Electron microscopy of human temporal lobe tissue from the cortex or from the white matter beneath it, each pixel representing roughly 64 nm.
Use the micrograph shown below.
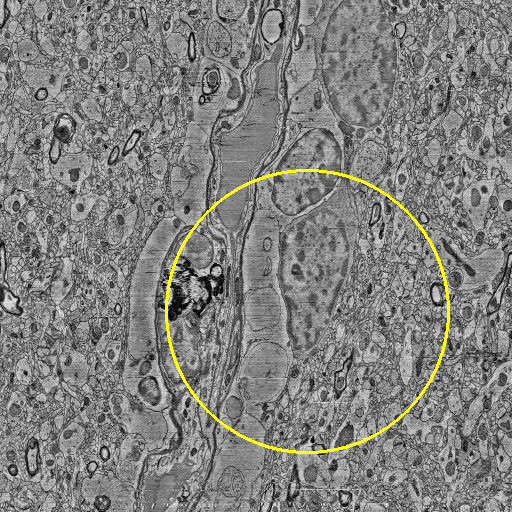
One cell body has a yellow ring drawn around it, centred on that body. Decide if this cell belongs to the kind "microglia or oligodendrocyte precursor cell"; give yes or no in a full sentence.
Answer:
No, the cell lying at the ring's centre in the micrograph is of another kind.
